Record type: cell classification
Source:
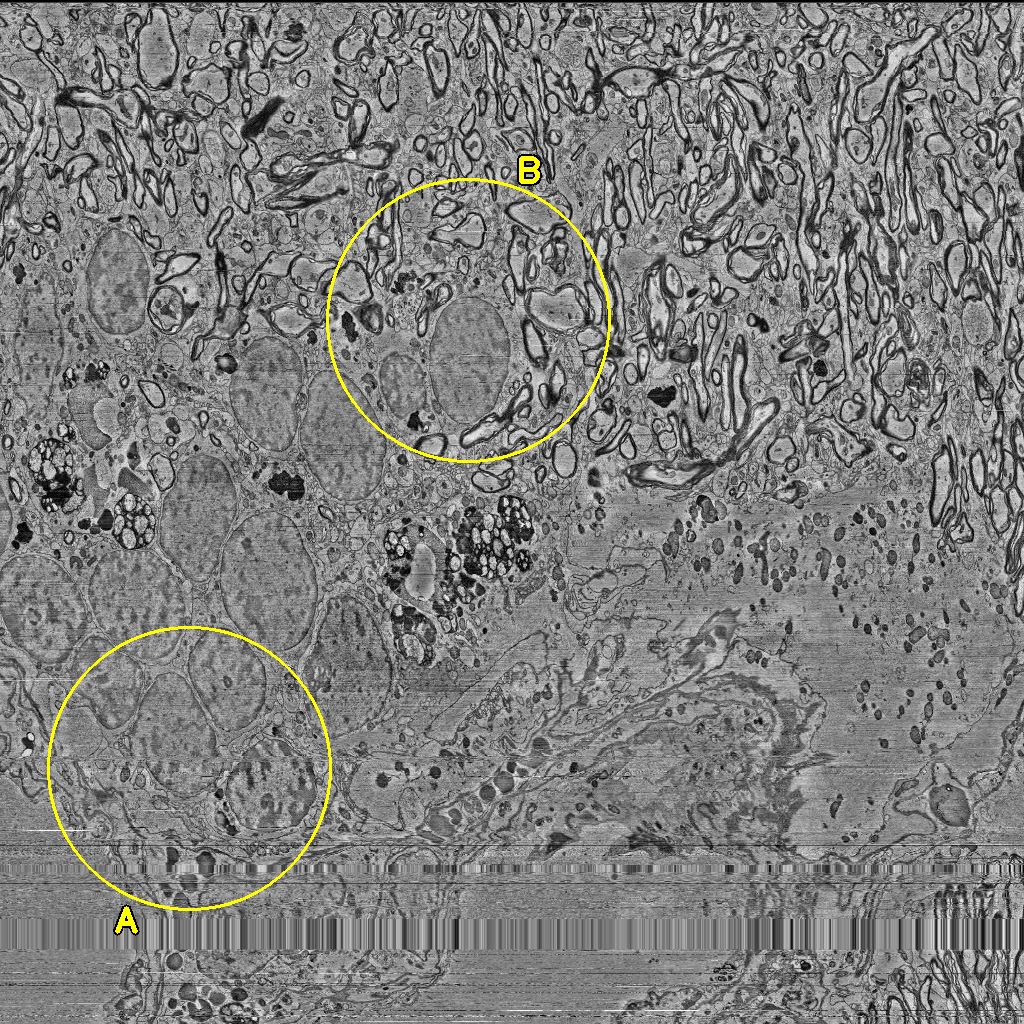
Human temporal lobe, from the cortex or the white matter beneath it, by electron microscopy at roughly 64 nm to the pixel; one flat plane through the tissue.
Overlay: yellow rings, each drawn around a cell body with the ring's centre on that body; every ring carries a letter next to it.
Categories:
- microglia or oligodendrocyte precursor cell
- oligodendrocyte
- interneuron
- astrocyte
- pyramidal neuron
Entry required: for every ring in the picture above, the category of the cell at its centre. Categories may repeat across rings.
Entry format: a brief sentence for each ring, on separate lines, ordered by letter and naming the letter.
At the centre of ring A lies an oligodendrocyte.
At the centre of ring B lies an oligodendrocyte.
